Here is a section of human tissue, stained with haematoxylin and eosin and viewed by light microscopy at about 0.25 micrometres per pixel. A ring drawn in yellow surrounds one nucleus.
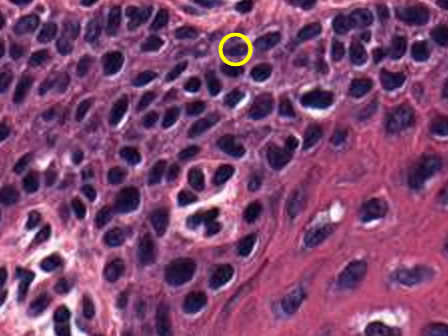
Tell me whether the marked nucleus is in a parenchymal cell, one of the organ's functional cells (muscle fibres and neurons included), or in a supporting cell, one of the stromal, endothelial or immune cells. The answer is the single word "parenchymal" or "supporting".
parenchymal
